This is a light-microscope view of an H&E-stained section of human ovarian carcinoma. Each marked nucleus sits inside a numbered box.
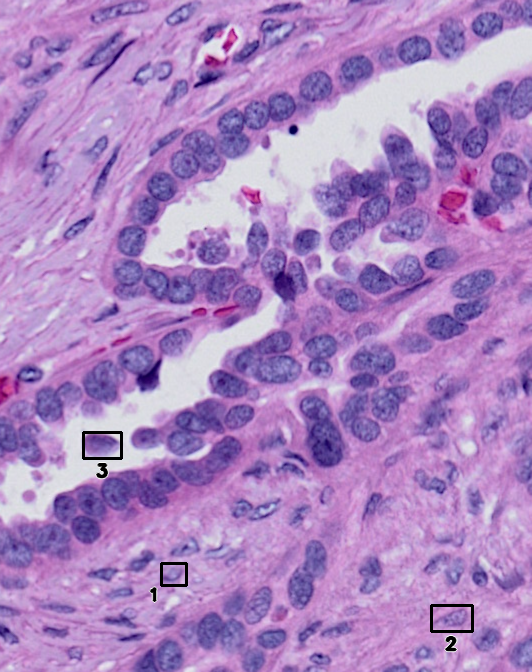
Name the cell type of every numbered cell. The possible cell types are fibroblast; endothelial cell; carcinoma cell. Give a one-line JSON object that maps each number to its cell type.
{"1": "fibroblast", "2": "fibroblast", "3": "carcinoma cell"}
